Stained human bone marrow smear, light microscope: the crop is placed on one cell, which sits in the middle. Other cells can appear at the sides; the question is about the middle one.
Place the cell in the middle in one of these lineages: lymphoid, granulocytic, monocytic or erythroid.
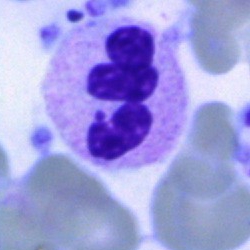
granulocytic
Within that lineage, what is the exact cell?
segmented neutrophil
